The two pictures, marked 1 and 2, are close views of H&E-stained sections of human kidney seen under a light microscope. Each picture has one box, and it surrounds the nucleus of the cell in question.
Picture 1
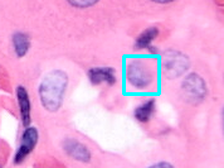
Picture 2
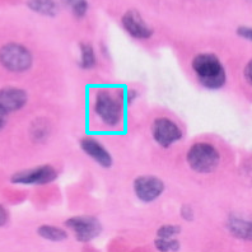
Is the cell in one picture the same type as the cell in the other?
no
